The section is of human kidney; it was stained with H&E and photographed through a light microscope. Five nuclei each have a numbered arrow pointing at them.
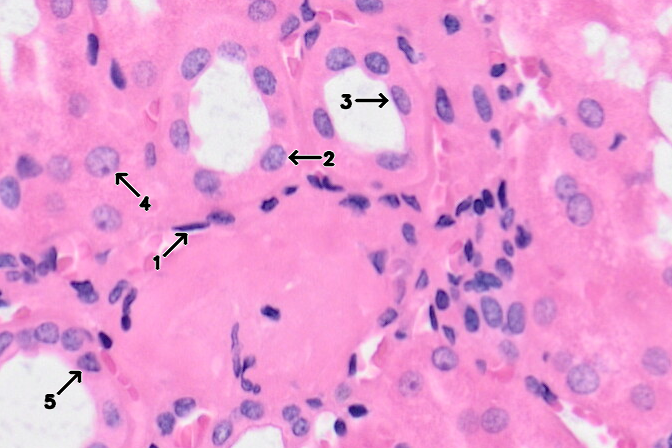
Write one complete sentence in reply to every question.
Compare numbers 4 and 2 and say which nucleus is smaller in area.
It is nucleus 2; nucleus 4 has about 1.5 times its area.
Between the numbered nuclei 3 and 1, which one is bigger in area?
Nucleus 3 covers more area, about 2 times as much as nucleus 1.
